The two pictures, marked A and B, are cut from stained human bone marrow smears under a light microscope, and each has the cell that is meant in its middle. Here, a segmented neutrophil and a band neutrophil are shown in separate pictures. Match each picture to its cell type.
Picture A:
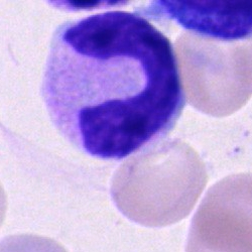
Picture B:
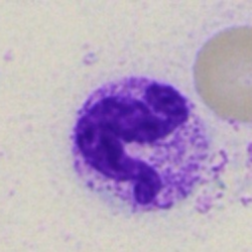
A: band neutrophil
B: segmented neutrophil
